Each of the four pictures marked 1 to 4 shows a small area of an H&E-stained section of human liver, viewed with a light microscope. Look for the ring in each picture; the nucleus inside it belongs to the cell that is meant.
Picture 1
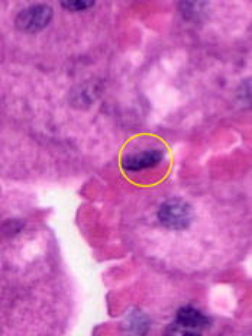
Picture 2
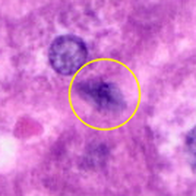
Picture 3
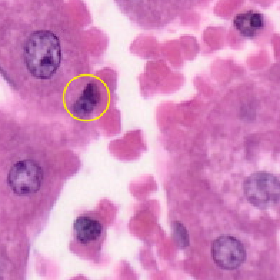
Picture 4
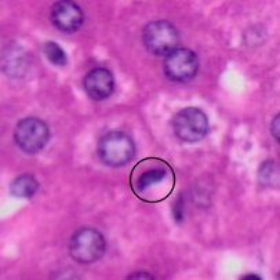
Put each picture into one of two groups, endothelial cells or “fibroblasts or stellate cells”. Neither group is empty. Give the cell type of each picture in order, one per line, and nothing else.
endothelial cell
endothelial cell
fibroblast or stellate cell
endothelial cell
